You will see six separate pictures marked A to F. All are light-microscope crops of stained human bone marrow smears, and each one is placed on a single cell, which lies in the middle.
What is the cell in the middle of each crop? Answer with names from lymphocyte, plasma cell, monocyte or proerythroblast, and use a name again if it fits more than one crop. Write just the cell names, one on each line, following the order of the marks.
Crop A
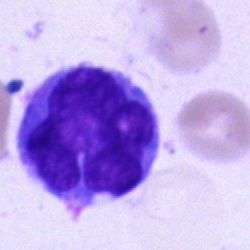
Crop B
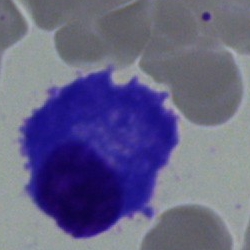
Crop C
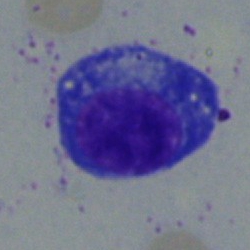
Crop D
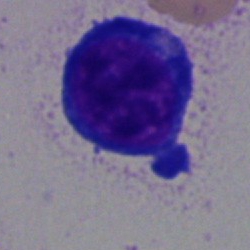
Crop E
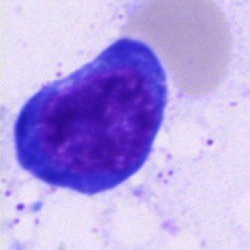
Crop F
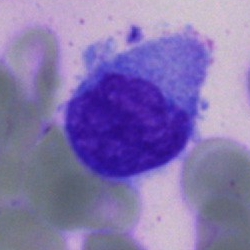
monocyte
plasma cell
plasma cell
proerythroblast
proerythroblast
monocyte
